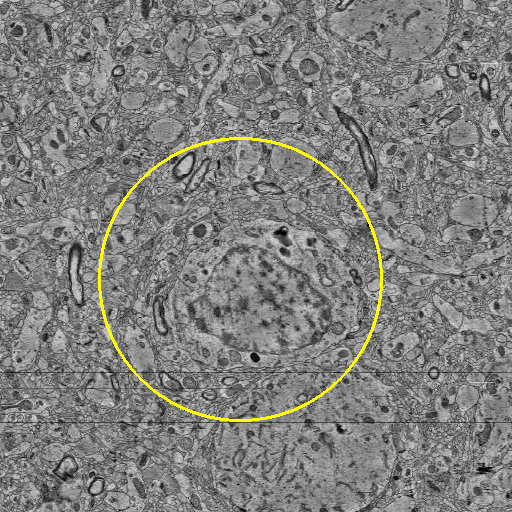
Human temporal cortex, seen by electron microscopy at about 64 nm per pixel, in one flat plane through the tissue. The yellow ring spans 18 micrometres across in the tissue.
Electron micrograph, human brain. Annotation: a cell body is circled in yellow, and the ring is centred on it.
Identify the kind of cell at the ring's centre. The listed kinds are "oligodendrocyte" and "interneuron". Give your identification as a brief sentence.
The circled cell body is that of an interneuron.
